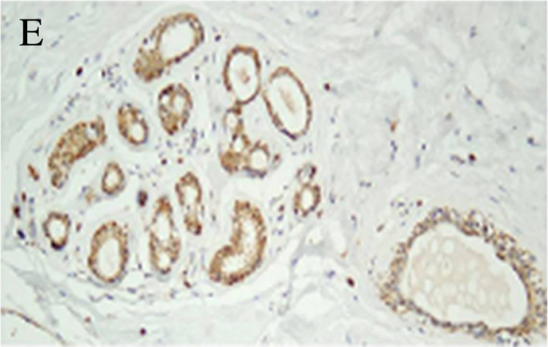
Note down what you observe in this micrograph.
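This is normal breast tissue showing a terminal ductal lobular unit: a rounded cluster of many small acini set in loose intralobular stroma. Scattered small dark nuclei lie in the stroma between the acini. At the lower right a larger duct is seen, its lining also brown and its lumen filled with pale material. Around the lobule the interlobular tissue is pale and fibrous with few cells.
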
